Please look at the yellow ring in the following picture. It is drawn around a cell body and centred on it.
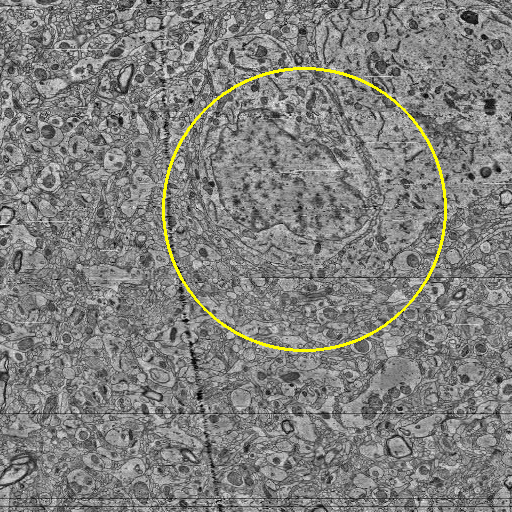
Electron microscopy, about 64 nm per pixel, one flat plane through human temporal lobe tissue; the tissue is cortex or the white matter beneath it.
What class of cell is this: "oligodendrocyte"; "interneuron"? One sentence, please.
The ring surrounds the cell body of an interneuron.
